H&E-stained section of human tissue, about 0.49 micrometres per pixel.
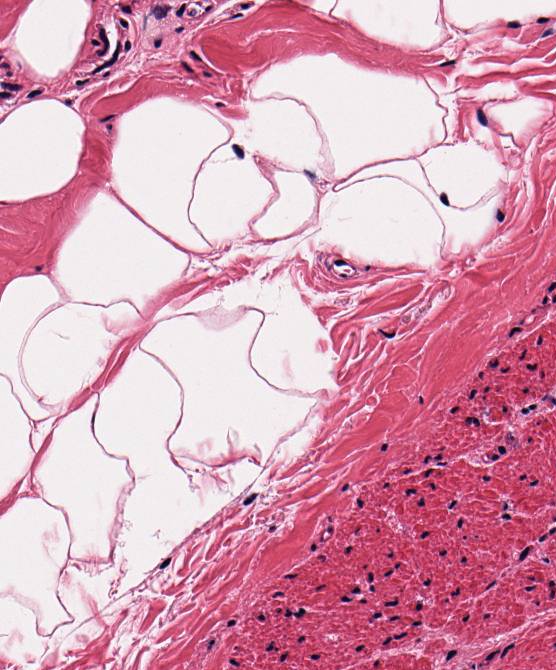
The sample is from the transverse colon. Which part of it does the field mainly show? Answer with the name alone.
fat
